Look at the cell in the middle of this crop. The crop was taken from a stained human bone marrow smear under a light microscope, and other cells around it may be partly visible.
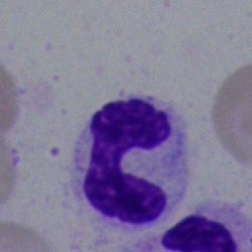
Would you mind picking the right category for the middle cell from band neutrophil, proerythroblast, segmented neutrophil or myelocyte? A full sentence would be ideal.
The centered cell in this crop is a band neutrophil.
